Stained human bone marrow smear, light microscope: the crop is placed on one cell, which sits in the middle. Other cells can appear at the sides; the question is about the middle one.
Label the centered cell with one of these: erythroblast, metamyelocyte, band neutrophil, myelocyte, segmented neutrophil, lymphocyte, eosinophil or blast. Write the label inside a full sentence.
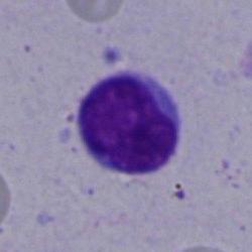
Where the crop is centred, there is a lymphocyte.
